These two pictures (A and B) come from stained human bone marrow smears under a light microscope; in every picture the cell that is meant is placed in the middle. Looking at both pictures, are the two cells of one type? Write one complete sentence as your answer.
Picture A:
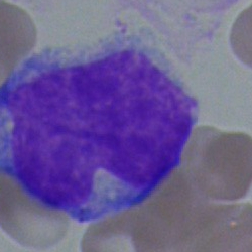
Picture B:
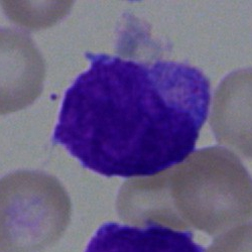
Yes, they are the same type: both are blasts.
